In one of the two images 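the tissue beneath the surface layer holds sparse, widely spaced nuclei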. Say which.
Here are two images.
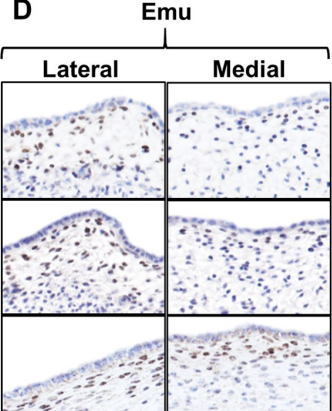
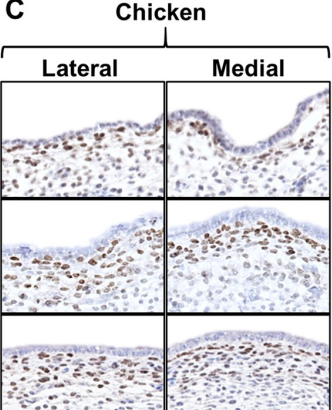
the first image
